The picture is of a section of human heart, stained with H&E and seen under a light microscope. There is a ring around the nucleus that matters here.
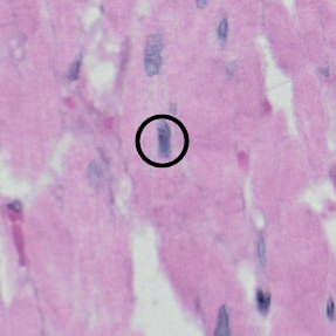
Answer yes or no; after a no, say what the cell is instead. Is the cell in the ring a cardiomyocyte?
No, it is an endothelial cell.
